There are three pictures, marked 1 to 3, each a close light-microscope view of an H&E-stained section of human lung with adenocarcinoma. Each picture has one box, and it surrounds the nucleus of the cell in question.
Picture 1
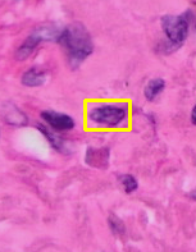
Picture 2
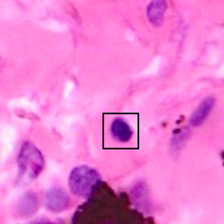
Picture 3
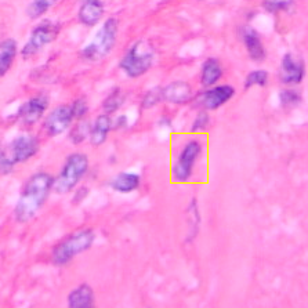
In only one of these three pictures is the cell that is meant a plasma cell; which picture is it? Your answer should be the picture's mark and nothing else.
1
